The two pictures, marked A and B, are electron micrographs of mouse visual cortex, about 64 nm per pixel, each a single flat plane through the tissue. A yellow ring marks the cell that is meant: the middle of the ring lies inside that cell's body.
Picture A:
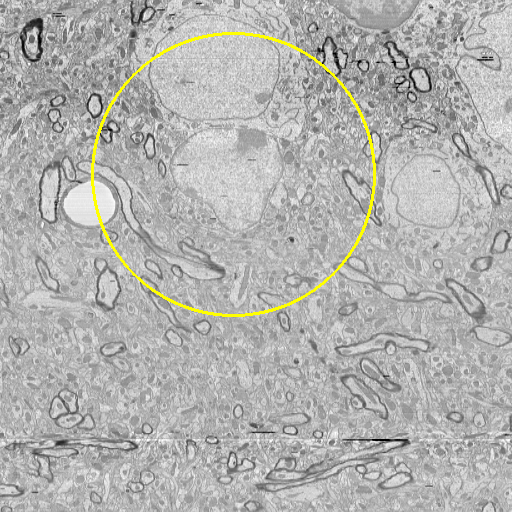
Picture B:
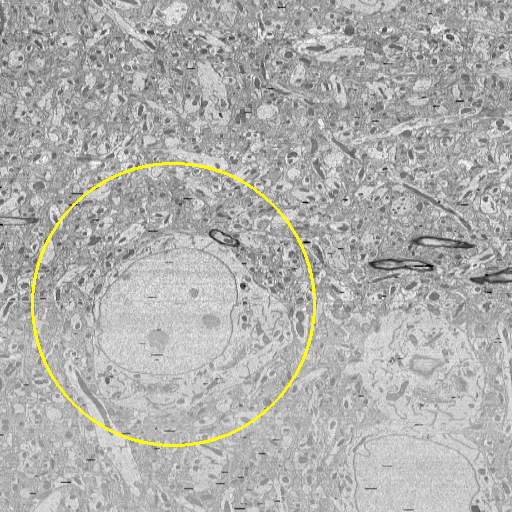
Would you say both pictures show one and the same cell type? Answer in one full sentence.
No, the types are not the same, since picture A shows an astrocyte and picture B an excitatory neuron.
